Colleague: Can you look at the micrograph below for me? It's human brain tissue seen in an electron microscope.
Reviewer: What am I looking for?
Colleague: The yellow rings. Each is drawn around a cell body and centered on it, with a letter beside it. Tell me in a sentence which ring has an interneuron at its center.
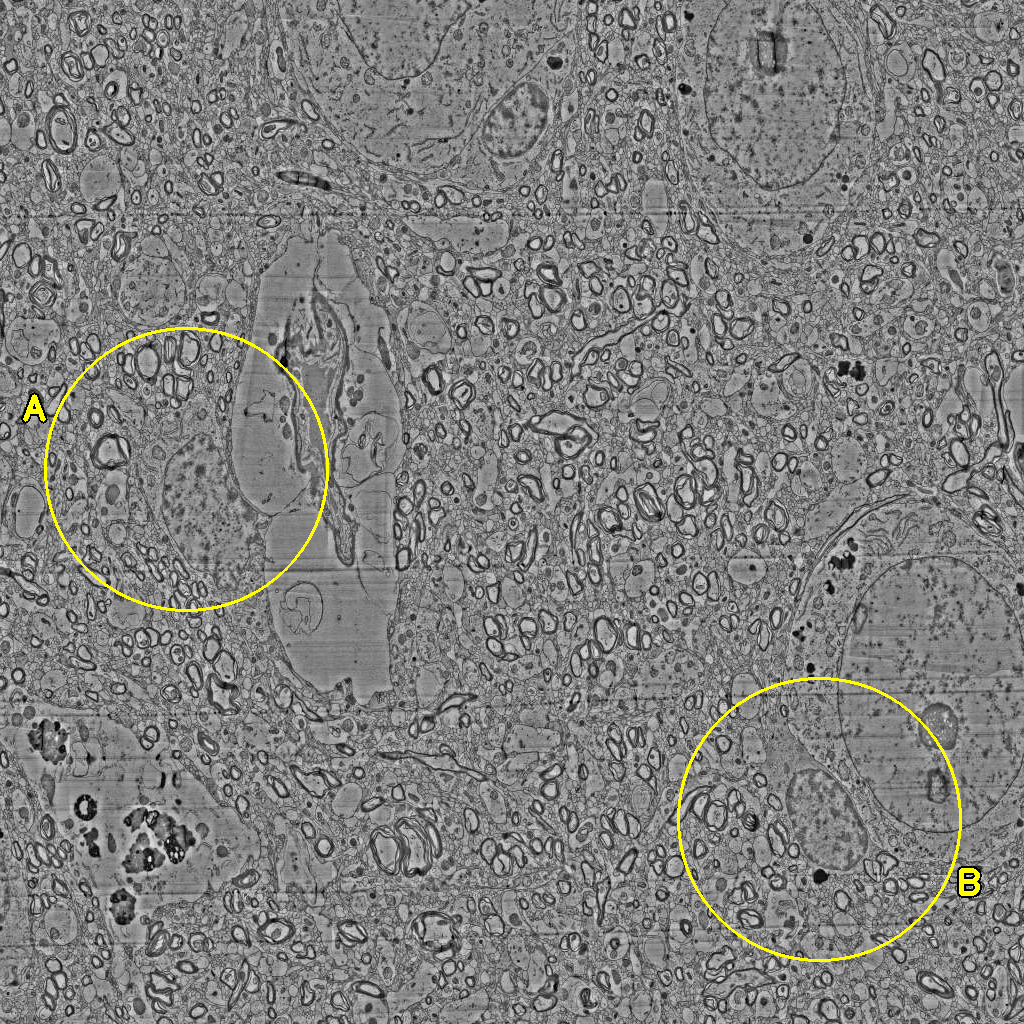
It's the cell in ring A.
